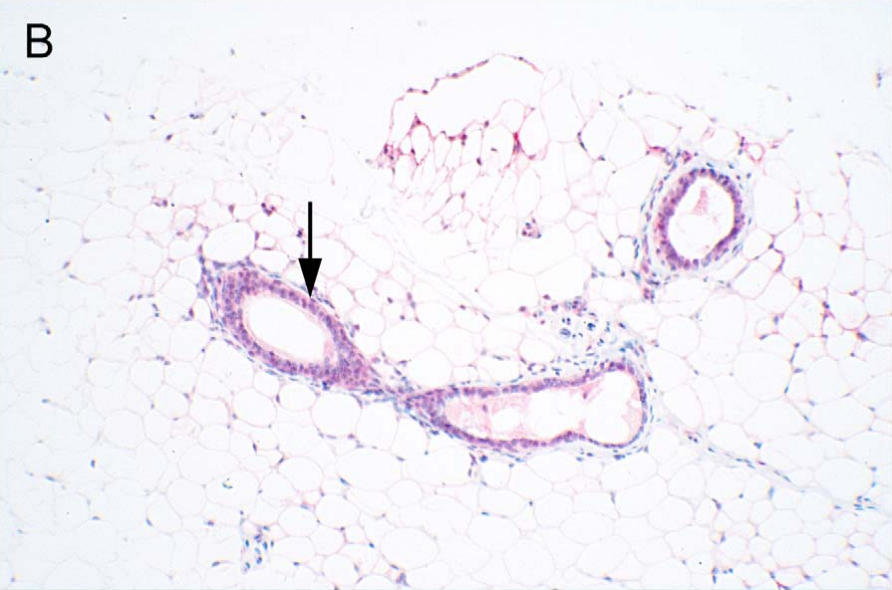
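Several small ducts of the mammary gland sit within a fat pad of large, empty-looking fat cells with thin pink walls. Each duct is lined by a compact layer of epithelial cells with oval, bluish-purple nuclei and pink-tinted cytoplasm, surrounding an open lumen. A thin rim of flattened stromal cells with blue nuclei wraps around the ducts.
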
